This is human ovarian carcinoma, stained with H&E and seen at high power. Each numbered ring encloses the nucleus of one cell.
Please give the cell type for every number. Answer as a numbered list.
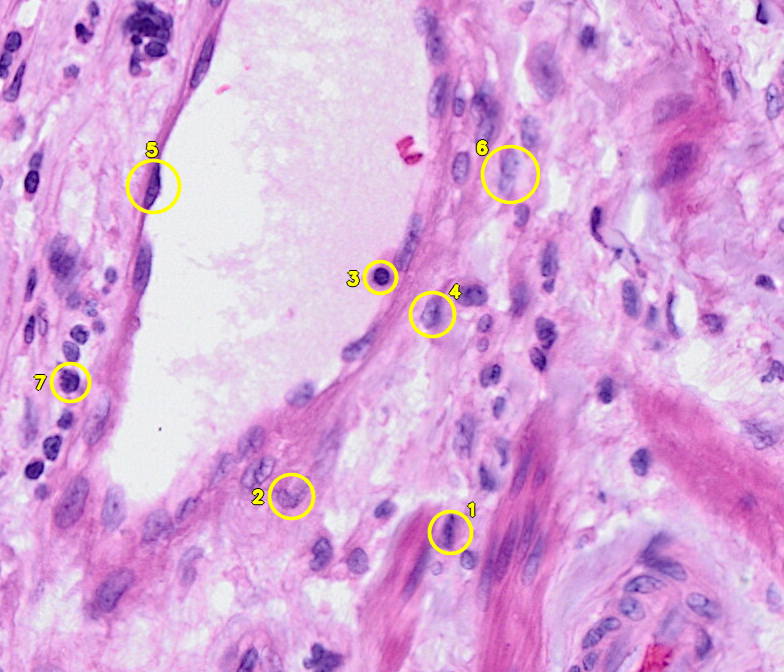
1. macrophage or monocyte
2. fibroblast
3. lymphocyte
4. fibroblast
5. endothelial cell
6. fibroblast
7. lymphocyte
